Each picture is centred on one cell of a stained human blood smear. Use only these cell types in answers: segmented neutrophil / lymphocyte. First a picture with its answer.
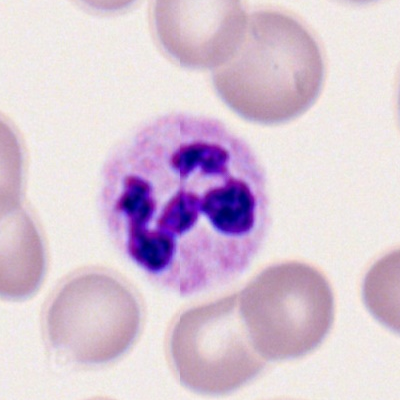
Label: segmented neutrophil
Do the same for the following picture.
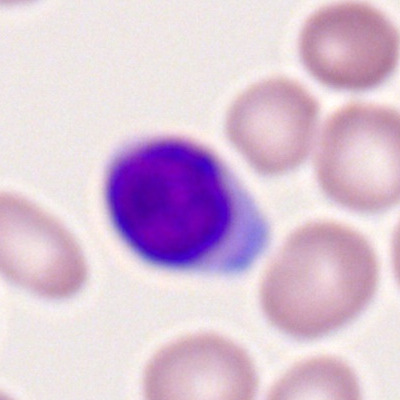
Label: lymphocyte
